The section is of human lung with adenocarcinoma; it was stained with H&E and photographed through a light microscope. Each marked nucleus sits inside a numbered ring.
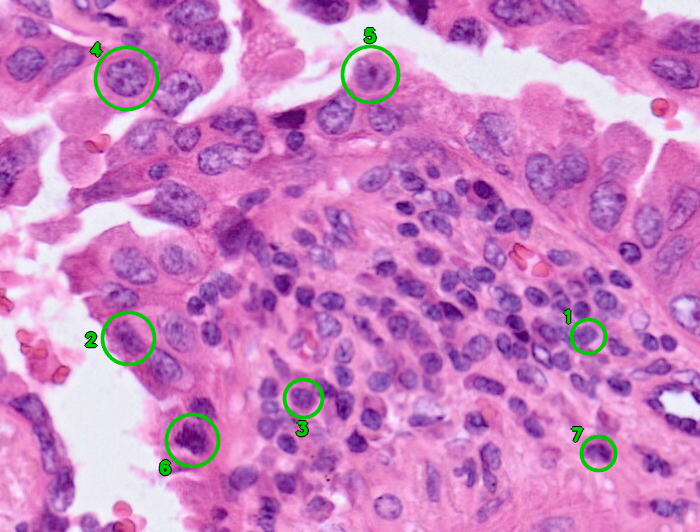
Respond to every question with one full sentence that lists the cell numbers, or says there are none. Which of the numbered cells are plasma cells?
Each of the cells numbered 3 and 7 is among the plasma cells.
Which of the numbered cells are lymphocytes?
Only number 1 is a lymphocyte; none of the others are.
